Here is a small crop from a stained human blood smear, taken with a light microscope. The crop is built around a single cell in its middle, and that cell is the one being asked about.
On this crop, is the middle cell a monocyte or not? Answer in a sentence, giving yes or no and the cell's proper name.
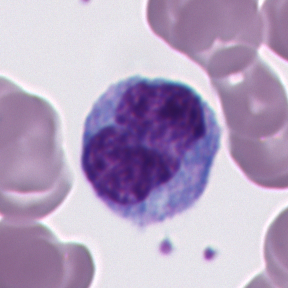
Yes, this is a monocyte, the cell in the middle of the crop.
